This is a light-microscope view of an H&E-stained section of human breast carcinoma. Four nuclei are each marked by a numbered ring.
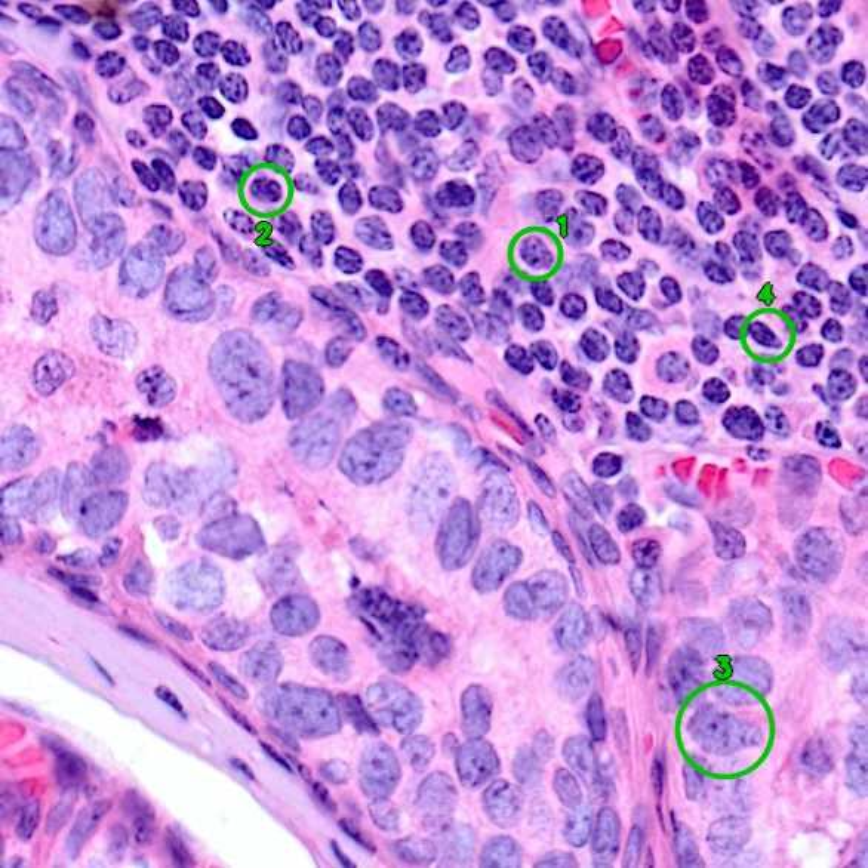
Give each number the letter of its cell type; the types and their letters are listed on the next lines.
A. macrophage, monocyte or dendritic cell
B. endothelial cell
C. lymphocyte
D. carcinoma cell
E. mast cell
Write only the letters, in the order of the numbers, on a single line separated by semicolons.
C; C; D; C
